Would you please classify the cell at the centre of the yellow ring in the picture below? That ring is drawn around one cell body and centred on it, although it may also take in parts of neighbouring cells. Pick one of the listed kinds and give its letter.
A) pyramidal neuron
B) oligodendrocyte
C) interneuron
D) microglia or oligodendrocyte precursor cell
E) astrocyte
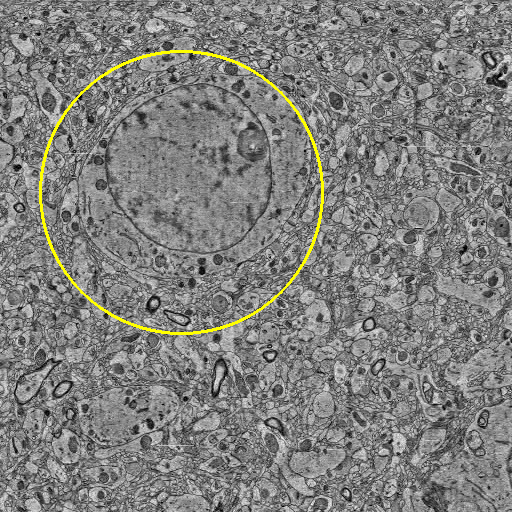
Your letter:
A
